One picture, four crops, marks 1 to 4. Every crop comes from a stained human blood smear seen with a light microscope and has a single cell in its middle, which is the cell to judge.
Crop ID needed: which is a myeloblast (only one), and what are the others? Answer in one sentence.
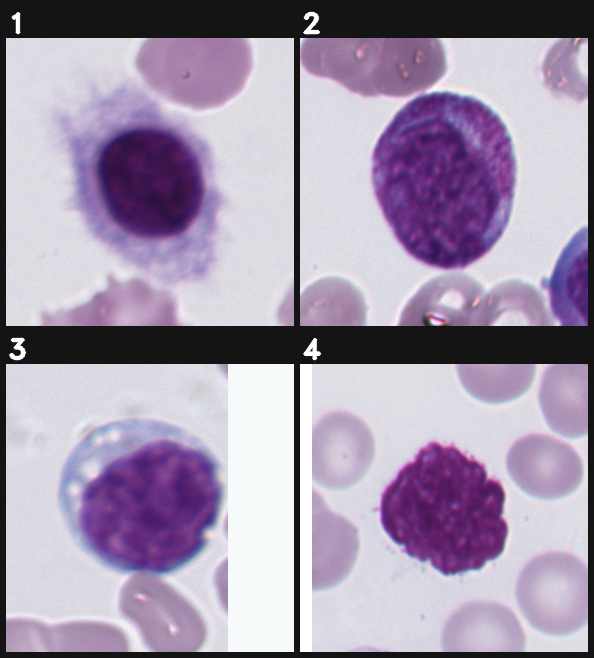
Crop 3 is recognised as a myeloblast, whereas crop 1 is a hairy cell, crop 2 is an atypical promyelocyte and crop 4 is a smudge cell.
